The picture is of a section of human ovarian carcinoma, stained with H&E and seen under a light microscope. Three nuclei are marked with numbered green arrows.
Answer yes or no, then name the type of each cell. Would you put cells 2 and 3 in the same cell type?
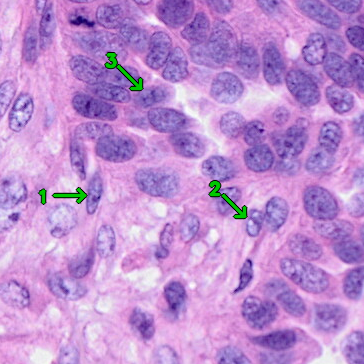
No, as to type, cell 2 is a fibroblast, and cell 3 is a carcinoma cell.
